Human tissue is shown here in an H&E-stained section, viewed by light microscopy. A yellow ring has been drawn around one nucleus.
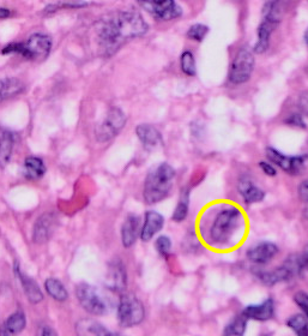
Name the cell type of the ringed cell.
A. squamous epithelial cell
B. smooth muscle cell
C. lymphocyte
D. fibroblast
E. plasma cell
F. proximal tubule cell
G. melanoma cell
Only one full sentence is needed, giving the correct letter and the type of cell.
Right answer, option G: the ringed cell is a melanoma cell.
